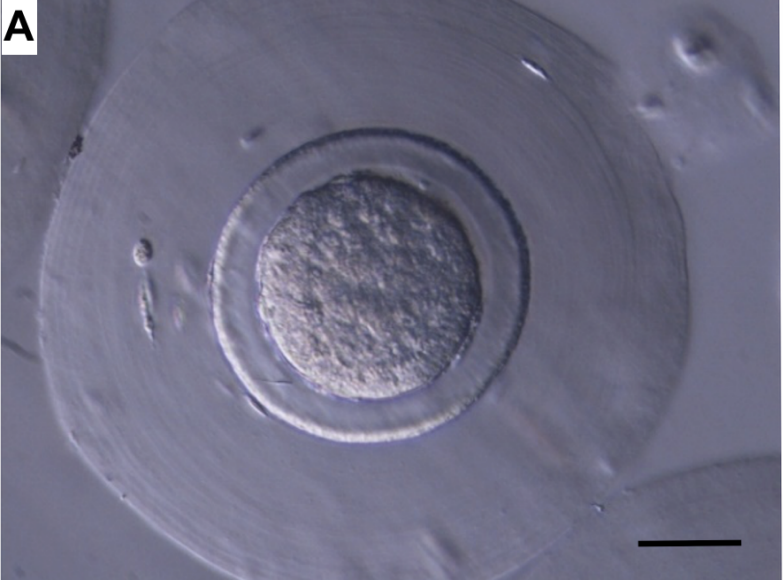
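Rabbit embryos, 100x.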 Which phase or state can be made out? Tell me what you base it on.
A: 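A single spherical, compact cell mass with no distinct cell boundaries. No fluid-filled cavity visible within the cell mass. The cell mass lies inside a clear ring surrounded by a thick layered outer coat.
Compacted morulae.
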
